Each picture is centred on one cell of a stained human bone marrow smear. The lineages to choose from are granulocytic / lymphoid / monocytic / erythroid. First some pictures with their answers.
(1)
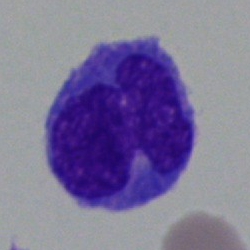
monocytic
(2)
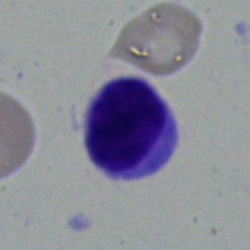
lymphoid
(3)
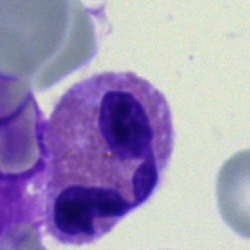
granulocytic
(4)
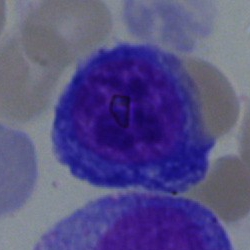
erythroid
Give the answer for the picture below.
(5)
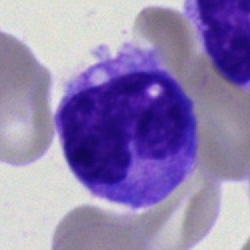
monocytic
